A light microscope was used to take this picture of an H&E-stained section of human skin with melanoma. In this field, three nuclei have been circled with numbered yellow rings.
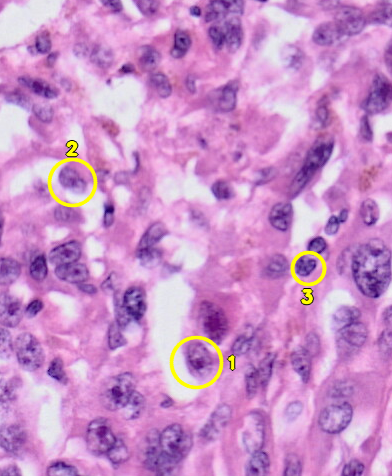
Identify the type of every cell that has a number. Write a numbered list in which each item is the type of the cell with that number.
1. melanoma cell
2. melanoma cell
3. lymphocyte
